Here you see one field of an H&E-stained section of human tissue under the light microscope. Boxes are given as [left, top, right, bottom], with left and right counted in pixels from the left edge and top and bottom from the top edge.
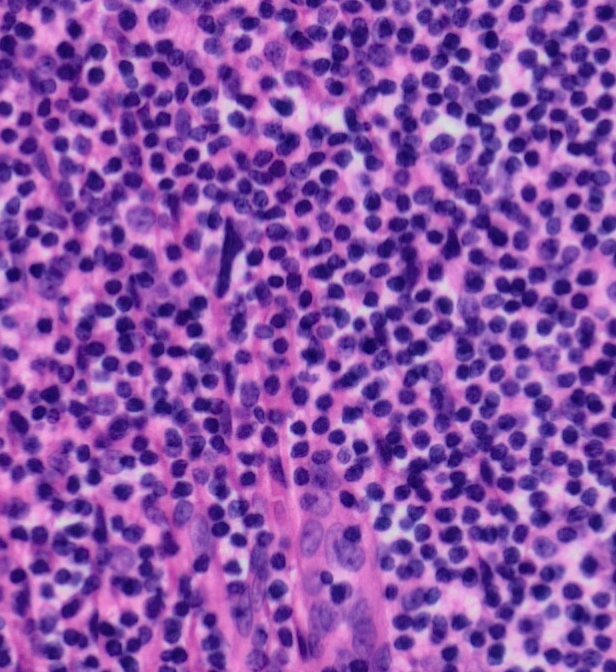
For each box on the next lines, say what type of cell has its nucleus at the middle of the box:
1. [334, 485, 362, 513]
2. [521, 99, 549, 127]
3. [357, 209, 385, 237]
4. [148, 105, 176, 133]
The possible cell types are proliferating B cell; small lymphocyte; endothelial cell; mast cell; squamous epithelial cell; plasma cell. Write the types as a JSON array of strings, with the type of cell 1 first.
["endothelial cell", "small lymphocyte", "small lymphocyte", "small lymphocyte"]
